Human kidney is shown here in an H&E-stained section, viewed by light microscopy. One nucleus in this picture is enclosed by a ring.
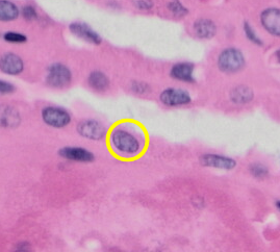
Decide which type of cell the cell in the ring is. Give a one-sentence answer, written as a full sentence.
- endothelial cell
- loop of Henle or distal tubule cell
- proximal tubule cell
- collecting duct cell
Microscopically, the cell in the ring is categorized as a loop of Henle or distal tubule cell.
